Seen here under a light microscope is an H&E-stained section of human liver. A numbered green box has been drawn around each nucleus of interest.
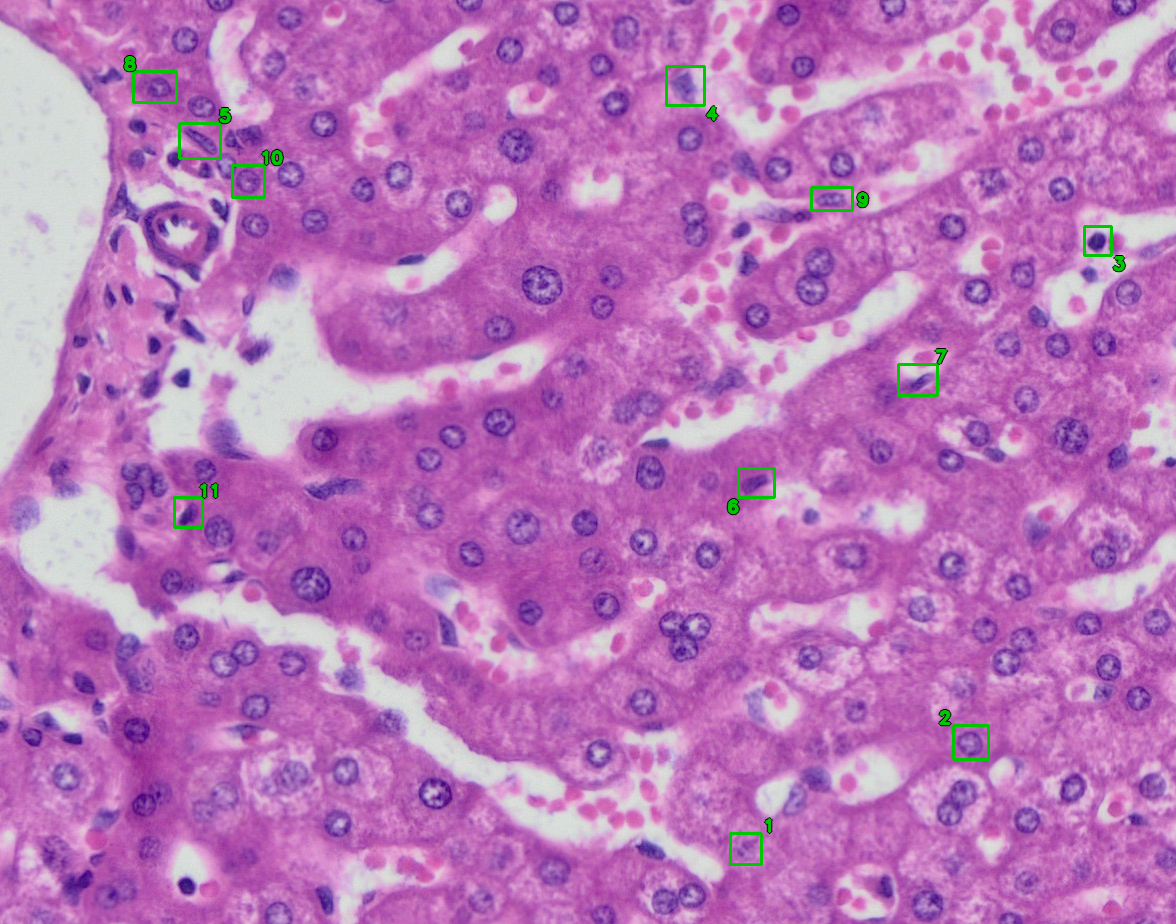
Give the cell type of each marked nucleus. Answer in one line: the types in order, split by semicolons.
hepatocyte; hepatocyte; lymphocyte; endothelial cell; cholangiocyte; fibroblast or stellate cell; endothelial cell; hepatocyte; fibroblast or stellate cell; cholangiocyte; fibroblast or stellate cell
